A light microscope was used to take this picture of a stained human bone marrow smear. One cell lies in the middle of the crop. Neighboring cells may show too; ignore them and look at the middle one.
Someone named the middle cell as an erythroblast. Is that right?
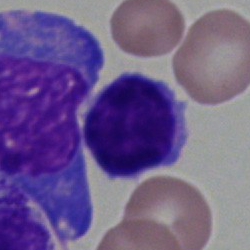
no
